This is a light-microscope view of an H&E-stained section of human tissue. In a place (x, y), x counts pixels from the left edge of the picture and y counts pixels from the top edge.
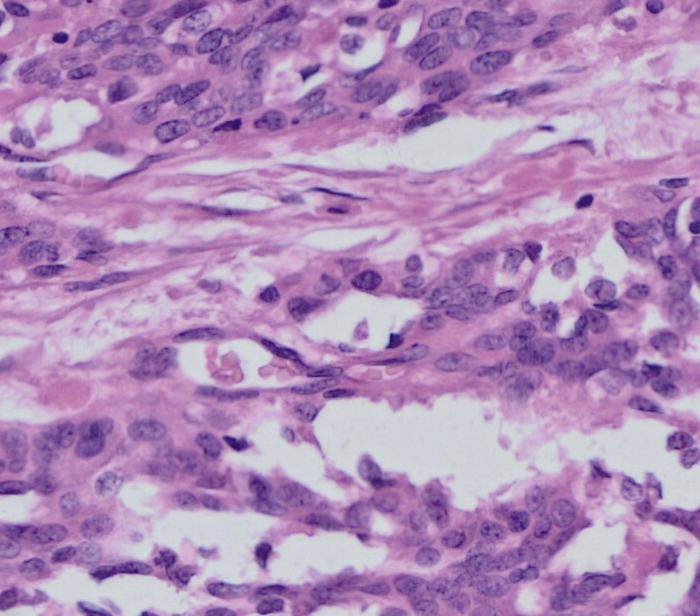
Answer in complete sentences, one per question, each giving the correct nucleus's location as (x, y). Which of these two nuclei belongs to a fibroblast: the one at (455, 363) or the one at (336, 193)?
Of the two nuclei, the nucleus belonging to a fibroblast is located at (336, 193).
